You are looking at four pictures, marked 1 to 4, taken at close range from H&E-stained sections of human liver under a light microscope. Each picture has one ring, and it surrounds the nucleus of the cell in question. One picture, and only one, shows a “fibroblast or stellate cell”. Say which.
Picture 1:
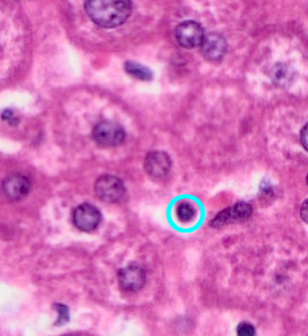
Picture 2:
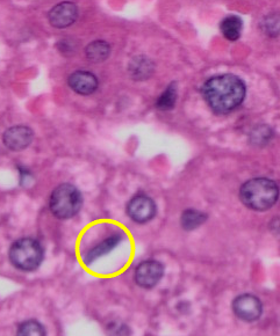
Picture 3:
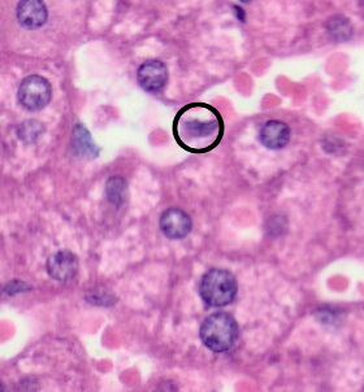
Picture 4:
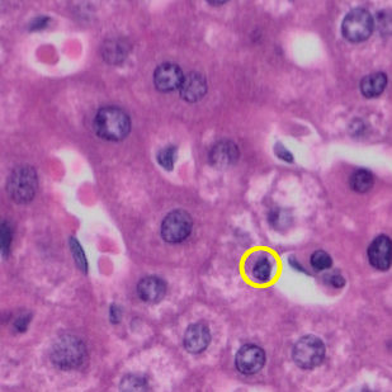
4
